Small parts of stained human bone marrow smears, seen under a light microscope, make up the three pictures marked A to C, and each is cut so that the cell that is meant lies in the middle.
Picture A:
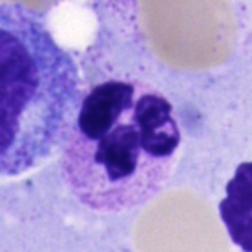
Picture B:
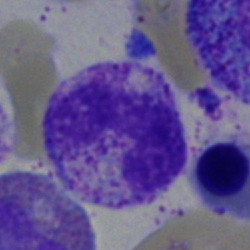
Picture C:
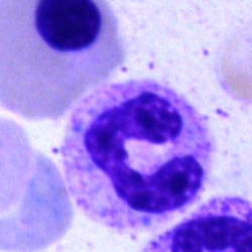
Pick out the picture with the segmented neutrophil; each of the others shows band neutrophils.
A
